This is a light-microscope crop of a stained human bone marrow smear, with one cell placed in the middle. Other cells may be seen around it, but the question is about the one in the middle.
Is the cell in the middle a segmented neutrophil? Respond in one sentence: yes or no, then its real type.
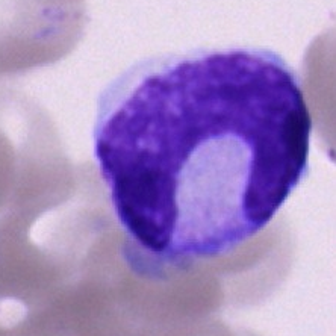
No, not a segmented neutrophil but a band neutrophil is the cell in the centre.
